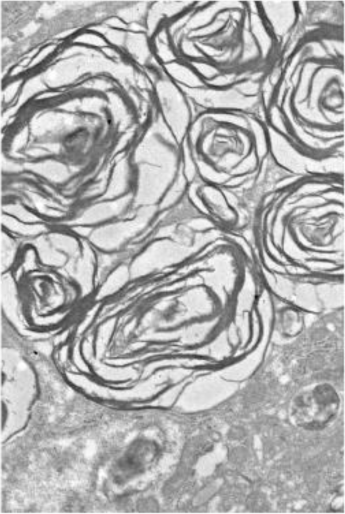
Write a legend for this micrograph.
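Transmission electron micrograph of cytoplasm packed with lamellar body-like structures. Each round, membrane-bound body is filled with dark, concentrically stacked membrane lamellae forming onion-like whorls, some with a paler or granular core. The bodies lie closely side by side, with small vesicles in the cytoplasm between them.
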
